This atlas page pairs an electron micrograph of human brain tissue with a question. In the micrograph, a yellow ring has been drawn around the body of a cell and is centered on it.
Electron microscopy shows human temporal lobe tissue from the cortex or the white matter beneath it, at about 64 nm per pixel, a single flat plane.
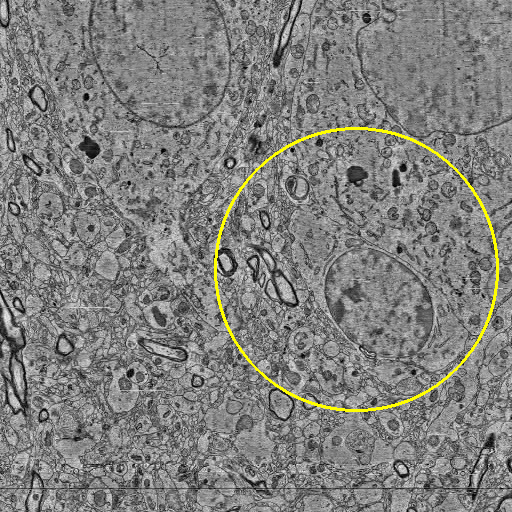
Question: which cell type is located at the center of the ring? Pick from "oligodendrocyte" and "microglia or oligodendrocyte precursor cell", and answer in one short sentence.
Located at the center of the ring is a microglial cell or oligodendrocyte precursor cell.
